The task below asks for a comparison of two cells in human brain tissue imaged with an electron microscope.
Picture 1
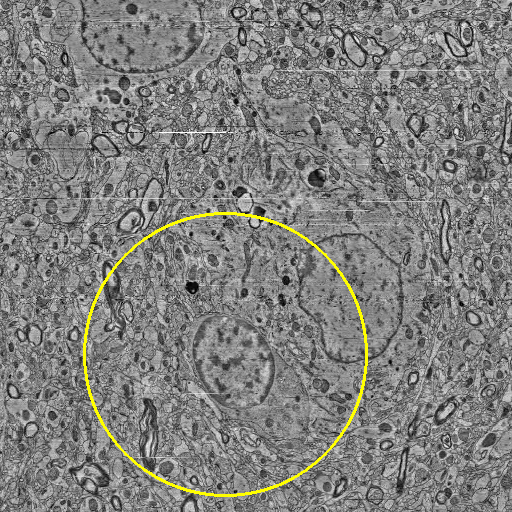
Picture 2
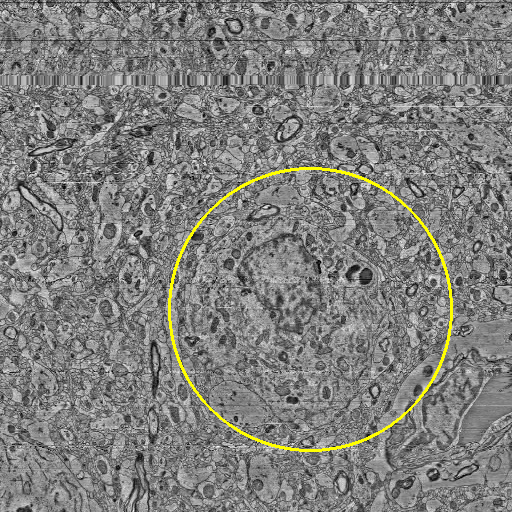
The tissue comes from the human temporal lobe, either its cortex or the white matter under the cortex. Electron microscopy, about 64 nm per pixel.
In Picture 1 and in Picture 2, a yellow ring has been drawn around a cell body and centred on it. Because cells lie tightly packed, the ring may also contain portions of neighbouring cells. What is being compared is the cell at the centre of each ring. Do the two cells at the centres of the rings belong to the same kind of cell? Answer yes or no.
no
